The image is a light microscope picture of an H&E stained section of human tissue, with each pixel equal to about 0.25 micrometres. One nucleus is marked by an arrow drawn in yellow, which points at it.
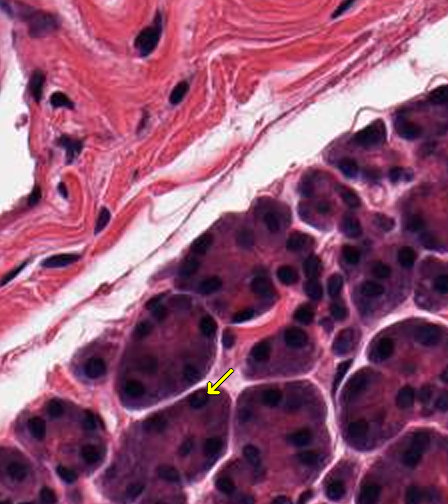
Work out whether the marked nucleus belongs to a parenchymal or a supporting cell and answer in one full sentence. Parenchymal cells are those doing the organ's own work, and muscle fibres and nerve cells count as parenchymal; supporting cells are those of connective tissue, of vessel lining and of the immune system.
In the tissue shown, the marked nucleus is that of a pancreatic acinar cell, a parenchymal cell.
